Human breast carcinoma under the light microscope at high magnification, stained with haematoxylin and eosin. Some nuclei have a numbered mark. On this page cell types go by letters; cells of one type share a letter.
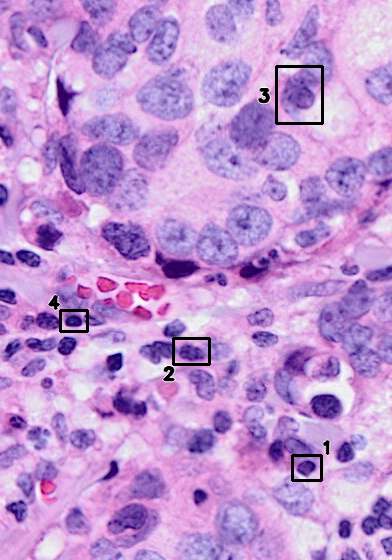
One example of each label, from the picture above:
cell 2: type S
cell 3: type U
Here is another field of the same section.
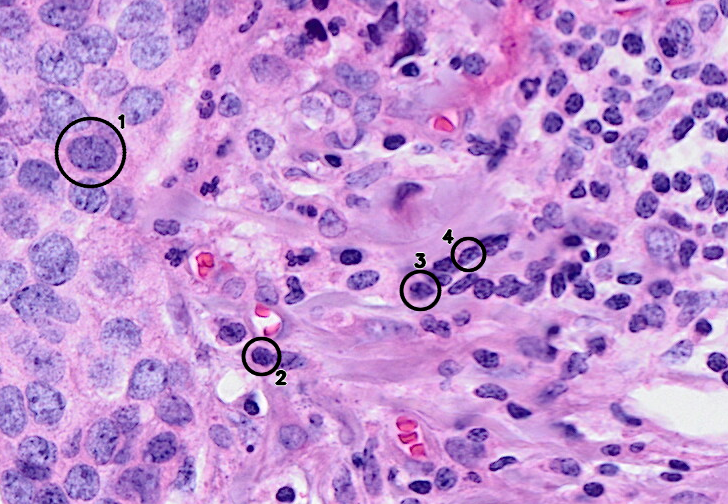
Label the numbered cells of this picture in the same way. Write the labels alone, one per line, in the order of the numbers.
type U
type S
type S
type S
